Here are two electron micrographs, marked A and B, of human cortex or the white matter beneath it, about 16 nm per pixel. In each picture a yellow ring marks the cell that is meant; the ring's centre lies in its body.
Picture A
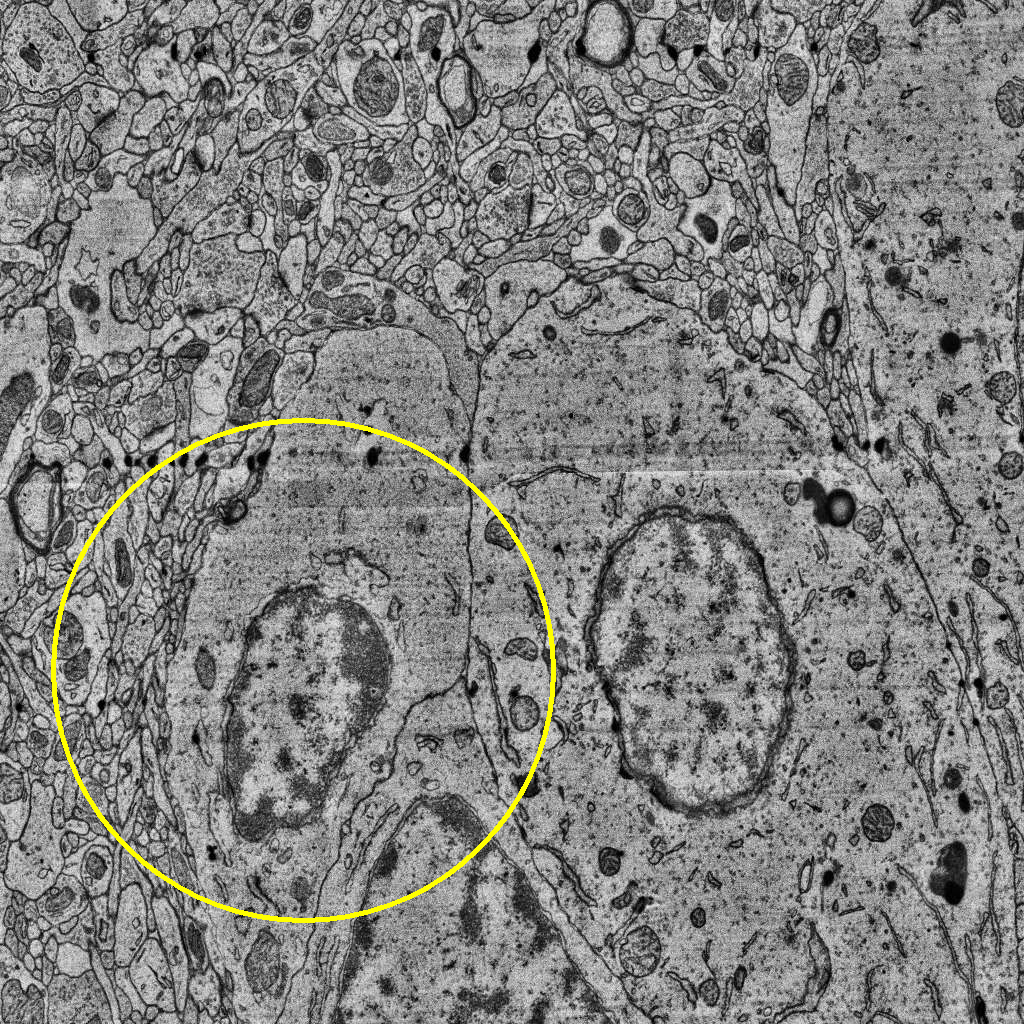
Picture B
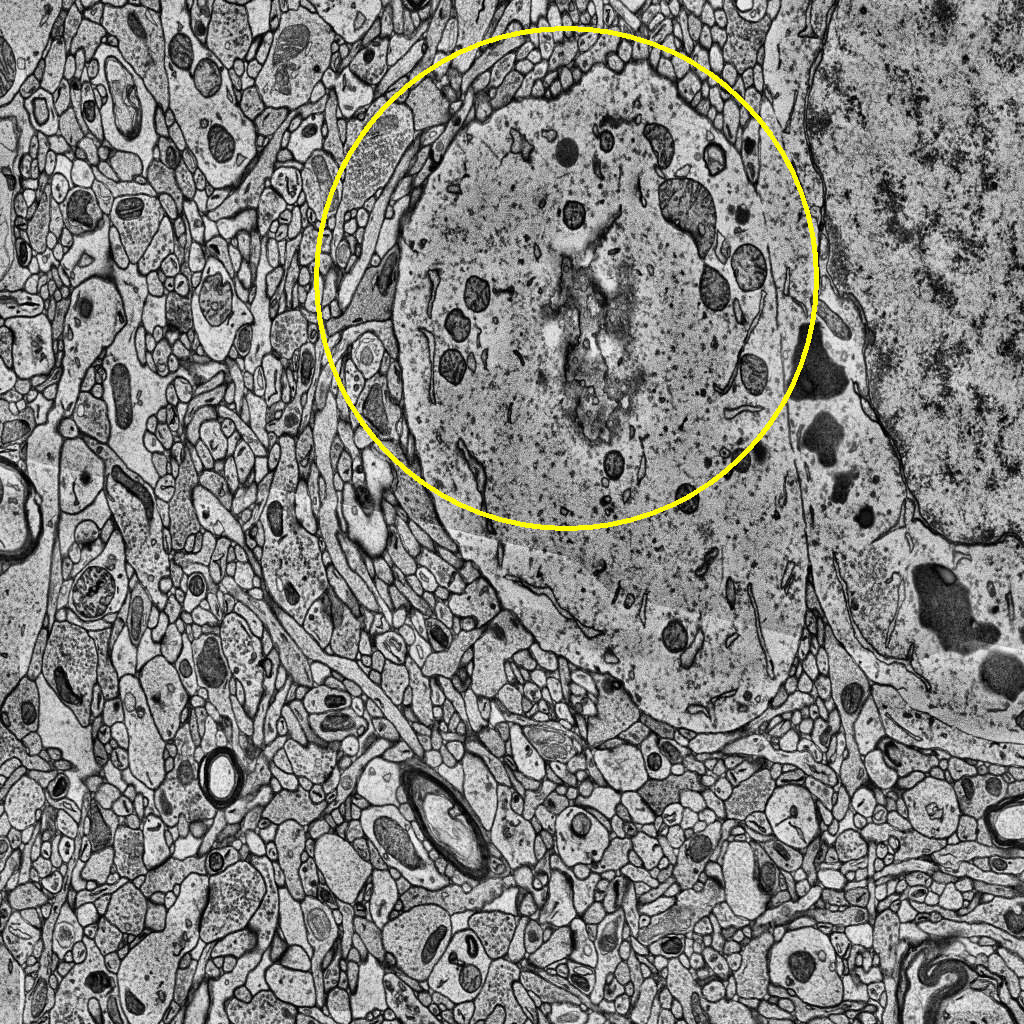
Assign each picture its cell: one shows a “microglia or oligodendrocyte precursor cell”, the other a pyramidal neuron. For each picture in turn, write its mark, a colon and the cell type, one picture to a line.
A: microglia or oligodendrocyte precursor cell
B: pyramidal neuron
